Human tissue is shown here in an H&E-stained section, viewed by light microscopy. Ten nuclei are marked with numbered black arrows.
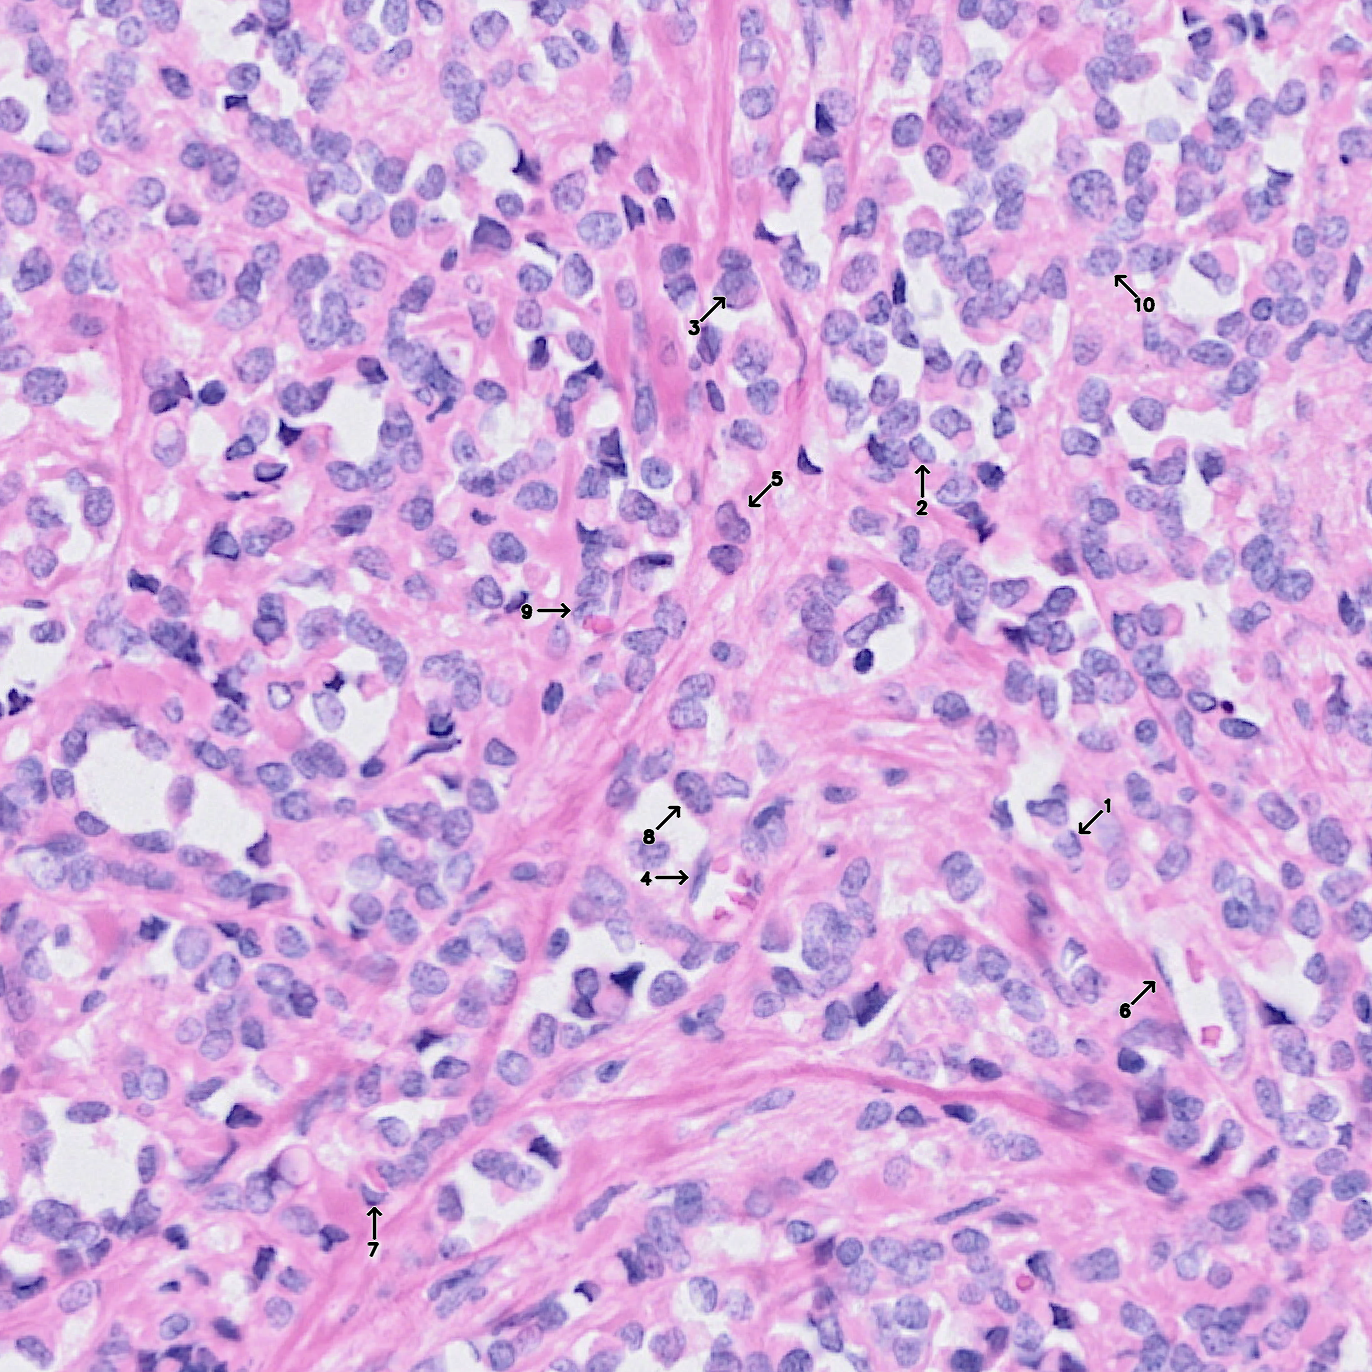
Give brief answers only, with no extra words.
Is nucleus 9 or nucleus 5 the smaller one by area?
9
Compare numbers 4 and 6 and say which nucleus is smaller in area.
6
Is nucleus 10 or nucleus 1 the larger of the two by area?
10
